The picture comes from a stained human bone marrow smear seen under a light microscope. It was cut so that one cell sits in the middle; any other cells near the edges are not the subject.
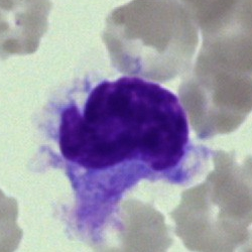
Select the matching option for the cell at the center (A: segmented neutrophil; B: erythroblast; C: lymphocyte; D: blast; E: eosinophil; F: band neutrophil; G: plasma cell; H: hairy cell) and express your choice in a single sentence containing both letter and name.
Correctly, option H names the cell in the middle a hairy cell.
